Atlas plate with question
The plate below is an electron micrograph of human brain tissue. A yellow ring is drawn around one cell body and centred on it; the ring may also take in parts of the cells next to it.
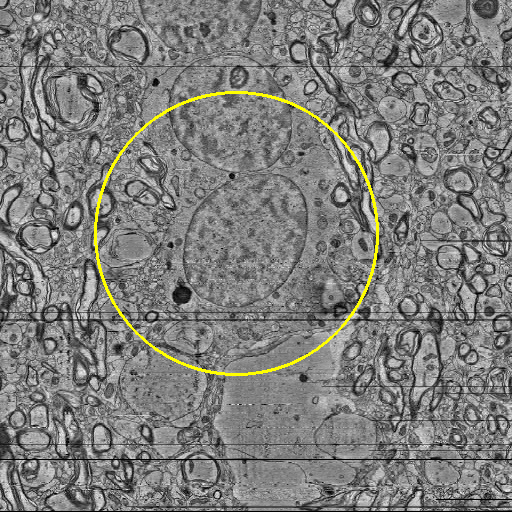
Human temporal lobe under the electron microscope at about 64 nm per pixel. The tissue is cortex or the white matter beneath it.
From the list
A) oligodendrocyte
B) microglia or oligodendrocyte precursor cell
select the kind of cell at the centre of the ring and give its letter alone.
A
